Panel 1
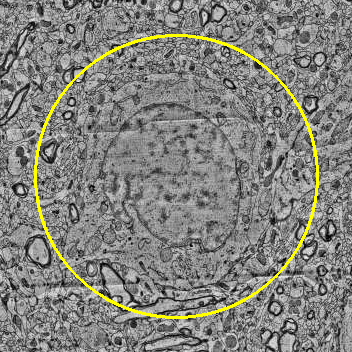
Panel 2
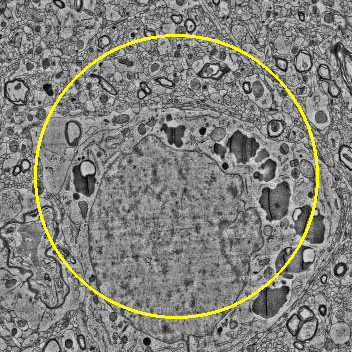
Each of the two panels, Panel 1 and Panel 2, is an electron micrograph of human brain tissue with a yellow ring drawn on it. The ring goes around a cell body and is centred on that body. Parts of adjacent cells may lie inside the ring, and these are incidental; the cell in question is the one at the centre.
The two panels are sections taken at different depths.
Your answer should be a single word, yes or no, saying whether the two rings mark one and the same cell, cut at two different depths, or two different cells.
no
